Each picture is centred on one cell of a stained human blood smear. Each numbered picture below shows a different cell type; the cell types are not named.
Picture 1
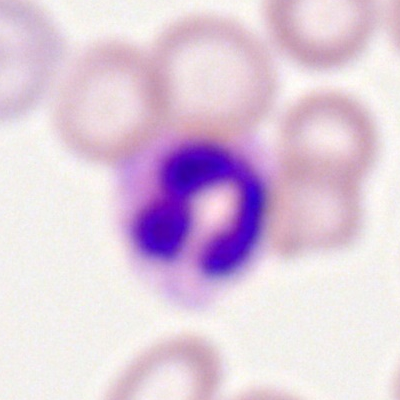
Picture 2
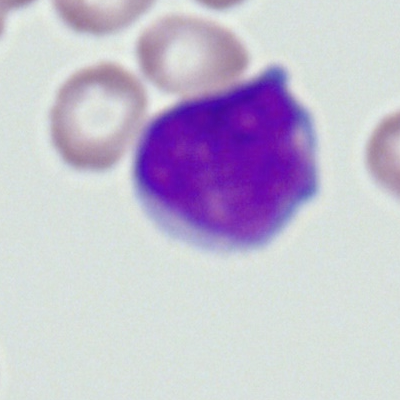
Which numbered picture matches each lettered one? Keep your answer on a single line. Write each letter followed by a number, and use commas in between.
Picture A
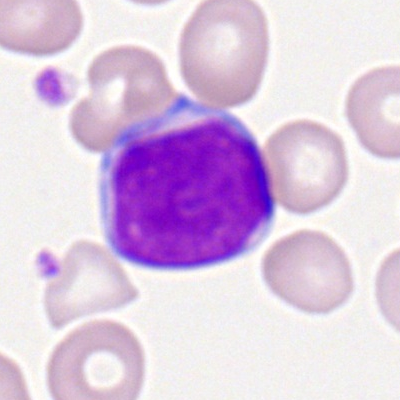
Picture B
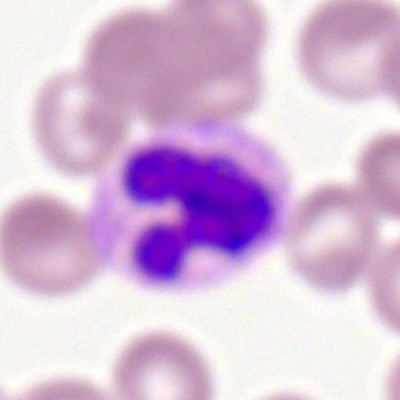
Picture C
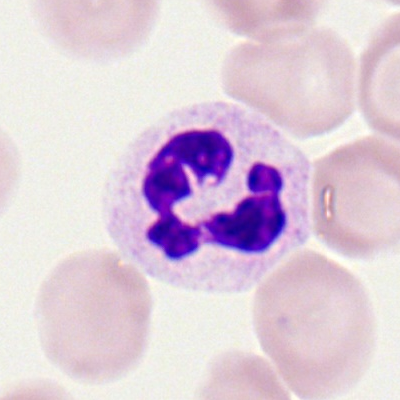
A 2, B 1, C 1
